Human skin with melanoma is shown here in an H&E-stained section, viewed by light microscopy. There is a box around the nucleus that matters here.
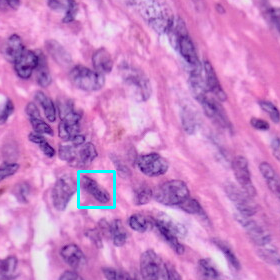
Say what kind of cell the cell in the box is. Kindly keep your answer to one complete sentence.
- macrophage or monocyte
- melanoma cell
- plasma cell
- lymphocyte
To be brief about it, the cell in the box is a melanoma cell.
